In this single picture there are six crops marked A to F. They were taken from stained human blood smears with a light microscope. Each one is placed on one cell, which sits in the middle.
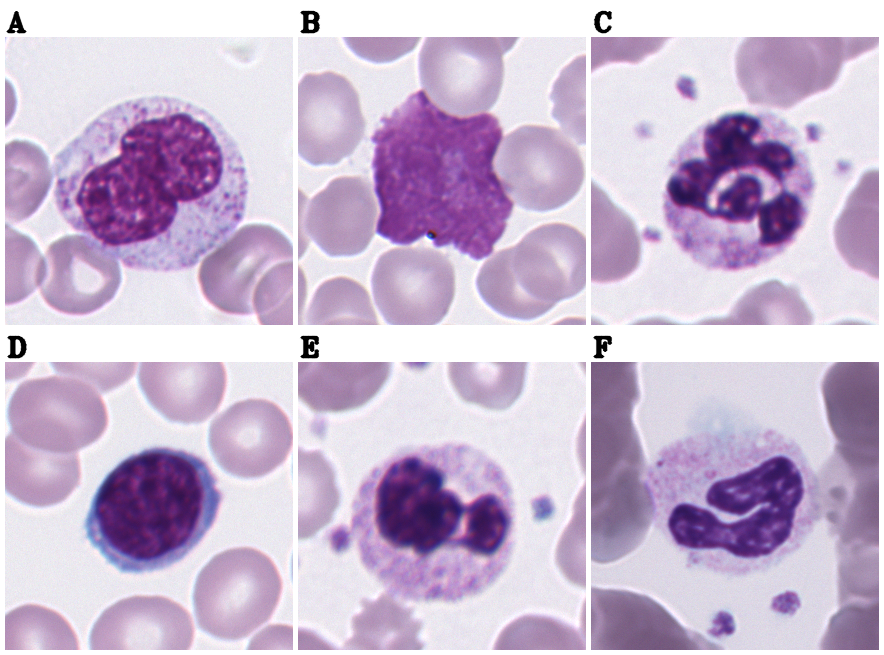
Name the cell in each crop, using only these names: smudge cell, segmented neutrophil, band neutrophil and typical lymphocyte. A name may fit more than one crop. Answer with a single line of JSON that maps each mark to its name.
{"A": "band neutrophil", "B": "smudge cell", "C": "segmented neutrophil", "D": "typical lymphocyte", "E": "segmented neutrophil", "F": "segmented neutrophil"}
